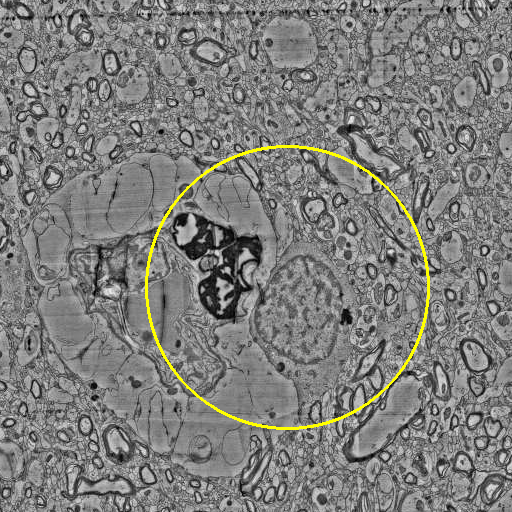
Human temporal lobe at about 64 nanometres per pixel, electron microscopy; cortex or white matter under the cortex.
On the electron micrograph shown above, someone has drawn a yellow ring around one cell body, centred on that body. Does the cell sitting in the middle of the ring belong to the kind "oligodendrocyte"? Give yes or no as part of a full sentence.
Yes, the cell located in the middle of the ring in the micrograph is of that kind.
